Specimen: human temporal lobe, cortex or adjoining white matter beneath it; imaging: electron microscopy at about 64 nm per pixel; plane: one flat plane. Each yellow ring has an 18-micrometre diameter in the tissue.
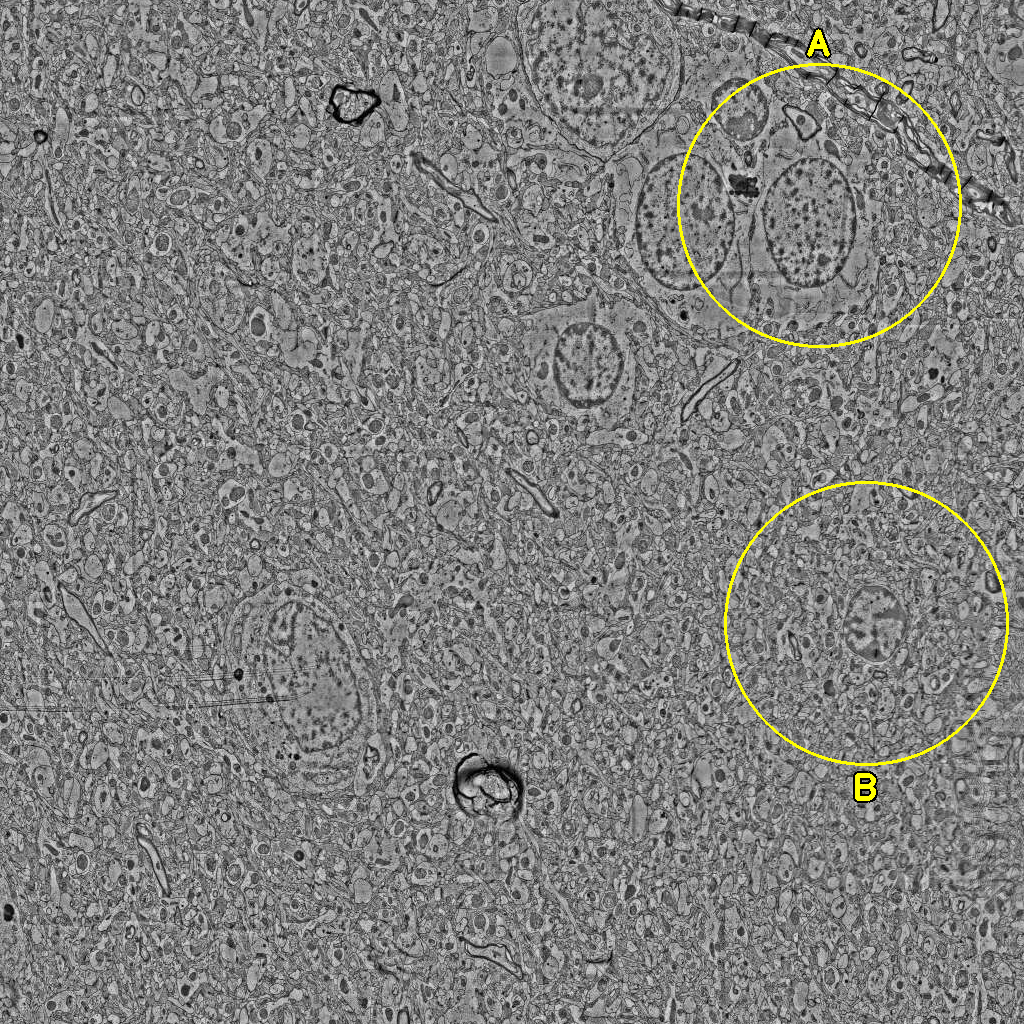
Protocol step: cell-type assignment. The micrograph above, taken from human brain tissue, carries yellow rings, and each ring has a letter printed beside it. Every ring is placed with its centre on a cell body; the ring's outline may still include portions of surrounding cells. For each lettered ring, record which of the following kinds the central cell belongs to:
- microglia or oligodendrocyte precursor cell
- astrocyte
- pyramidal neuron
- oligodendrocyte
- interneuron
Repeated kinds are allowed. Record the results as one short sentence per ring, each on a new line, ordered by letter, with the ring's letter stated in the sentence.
In ring A, the central cell is an astrocyte.
In ring B, the central cell is a microglial cell or oligodendrocyte precursor cell.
